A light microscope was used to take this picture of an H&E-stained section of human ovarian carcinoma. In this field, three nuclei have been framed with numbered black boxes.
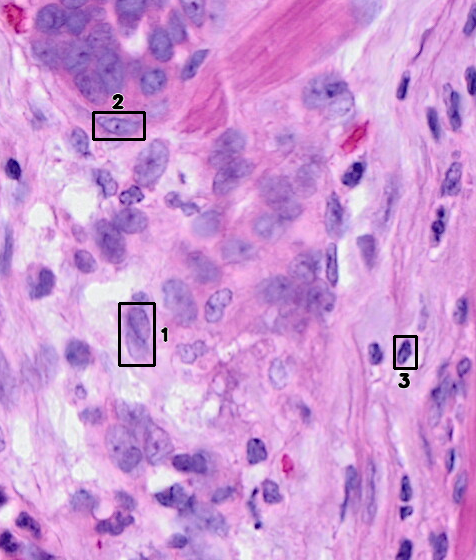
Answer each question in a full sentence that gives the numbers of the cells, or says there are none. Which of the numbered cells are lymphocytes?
A single numbered cell, cell 3, is a lymphocyte.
